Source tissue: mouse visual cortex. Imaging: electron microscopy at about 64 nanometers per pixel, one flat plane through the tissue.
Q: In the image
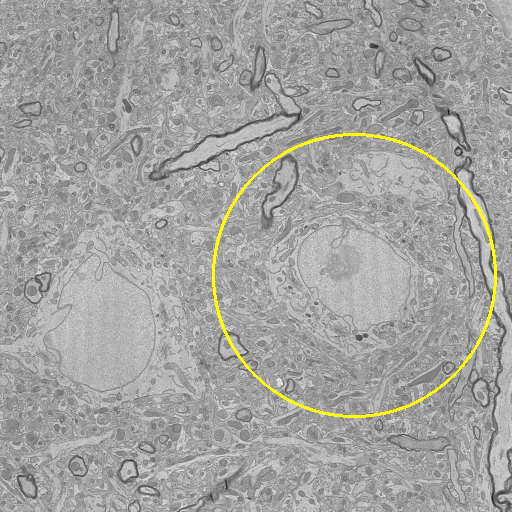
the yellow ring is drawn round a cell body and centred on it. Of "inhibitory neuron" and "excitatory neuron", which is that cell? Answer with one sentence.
The cell centred in the ring is an inhibitory neuron.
